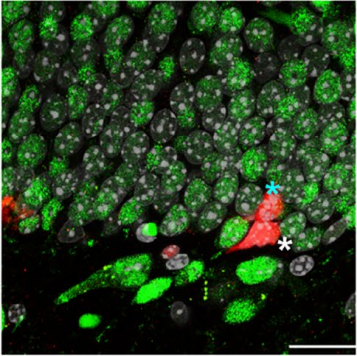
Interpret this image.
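At the lower border of this layer, in the subgranular zone, lies a small cluster of cells filled with red label and no green, one of them with compact chromatin. Beneath, in the sparser hilus, a few larger, brightly green neurons with elongated or irregular cell bodies are scattered among small grey nuclei without green.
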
